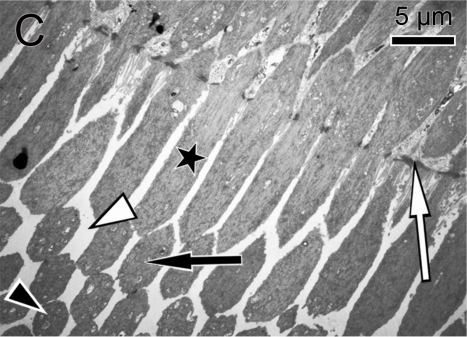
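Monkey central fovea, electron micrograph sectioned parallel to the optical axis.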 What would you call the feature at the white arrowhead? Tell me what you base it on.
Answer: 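Spaces between the curved inner segments. Pale, empty clefts separate the grey cell profiles. The white arrowhead points into one of these pale clefts.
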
